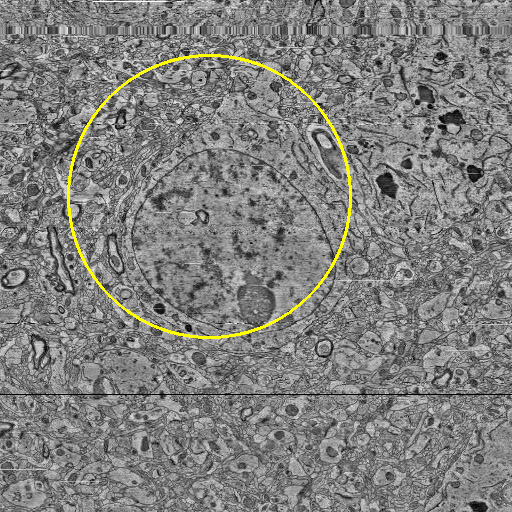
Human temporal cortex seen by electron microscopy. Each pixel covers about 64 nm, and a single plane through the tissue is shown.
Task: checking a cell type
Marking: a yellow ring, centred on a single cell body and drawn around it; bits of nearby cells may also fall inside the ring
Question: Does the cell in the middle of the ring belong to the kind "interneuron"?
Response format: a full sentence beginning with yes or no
No, the cell marked at the ring's centre in the picture is of a different kind.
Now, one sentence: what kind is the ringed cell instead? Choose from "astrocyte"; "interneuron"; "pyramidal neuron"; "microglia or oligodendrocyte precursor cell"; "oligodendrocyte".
The cell at the middle of the ring is a pyramidal neuron.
